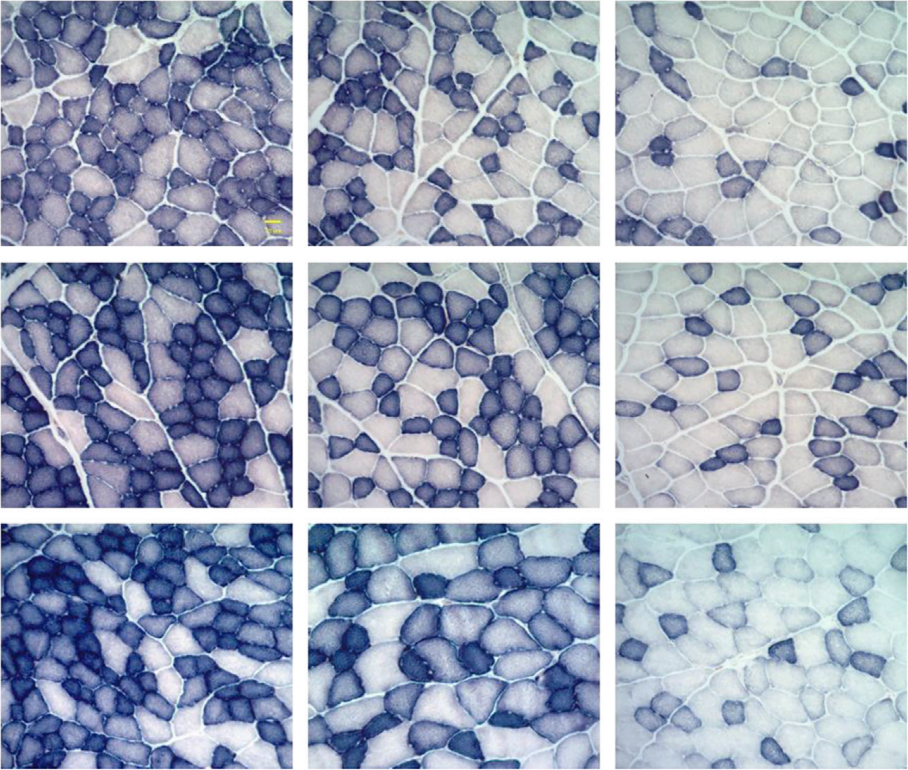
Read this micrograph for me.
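Cross-sections of skeletal muscle show polygonal muscle fibers packed closely together and separated by thin pale septa. Fibers fall into three staining intensities: small dark blue-purple fibers, intermediate fibers with medium staining, and larger pale fibers with the lightest staining. Dark and intermediate fibers are abundant in the left-hand images, while pale fibers dominate the right-hand images, with only scattered dark fibers.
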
